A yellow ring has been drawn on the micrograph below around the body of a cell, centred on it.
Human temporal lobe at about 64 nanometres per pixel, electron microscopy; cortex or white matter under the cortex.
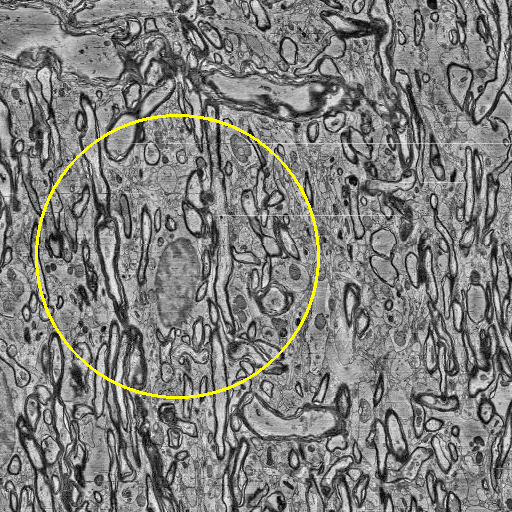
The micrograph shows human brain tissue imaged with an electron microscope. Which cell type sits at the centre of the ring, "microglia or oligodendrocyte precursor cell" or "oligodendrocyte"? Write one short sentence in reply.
The cell sitting at the centre of the ring is an oligodendrocyte.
